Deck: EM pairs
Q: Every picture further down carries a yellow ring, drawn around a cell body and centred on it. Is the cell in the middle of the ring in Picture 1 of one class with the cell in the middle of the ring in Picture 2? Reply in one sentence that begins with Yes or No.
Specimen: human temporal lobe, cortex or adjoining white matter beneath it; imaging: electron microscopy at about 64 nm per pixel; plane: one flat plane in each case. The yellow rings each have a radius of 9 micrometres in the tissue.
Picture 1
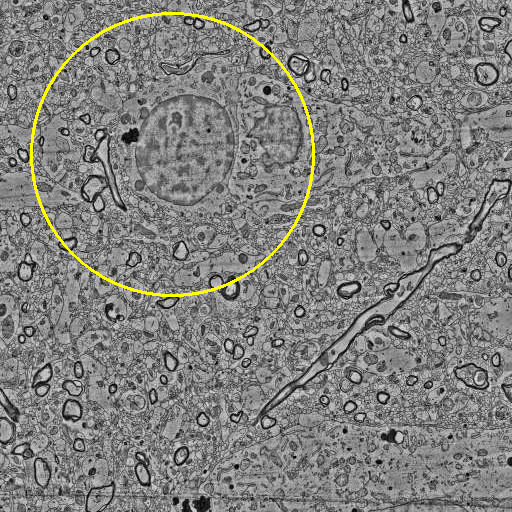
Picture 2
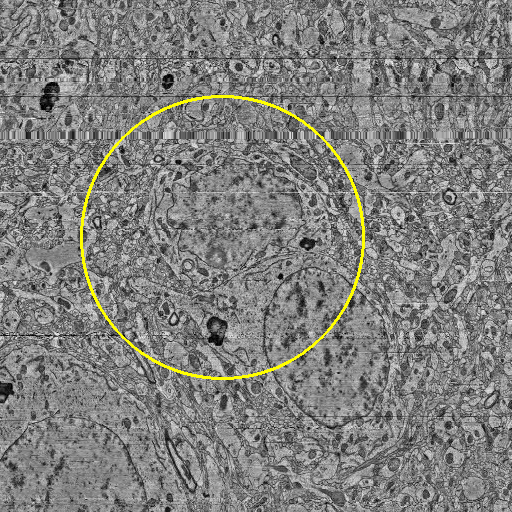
No, the cell centred in the ring of Picture 1 and the one in Picture 2 belong to separate classes.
